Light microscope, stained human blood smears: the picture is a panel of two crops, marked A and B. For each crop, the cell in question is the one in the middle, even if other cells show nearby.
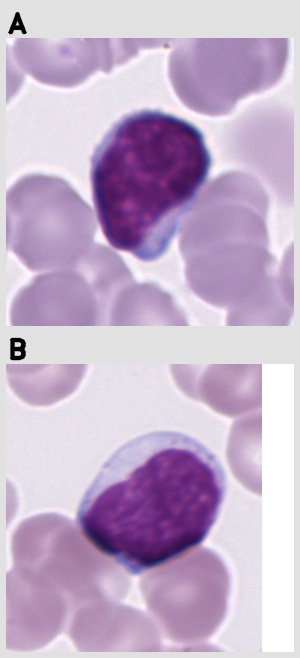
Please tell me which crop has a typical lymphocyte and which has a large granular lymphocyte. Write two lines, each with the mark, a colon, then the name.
A: typical lymphocyte
B: large granular lymphocyte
